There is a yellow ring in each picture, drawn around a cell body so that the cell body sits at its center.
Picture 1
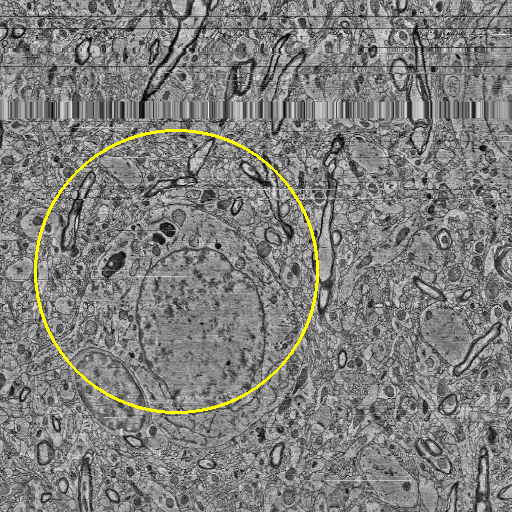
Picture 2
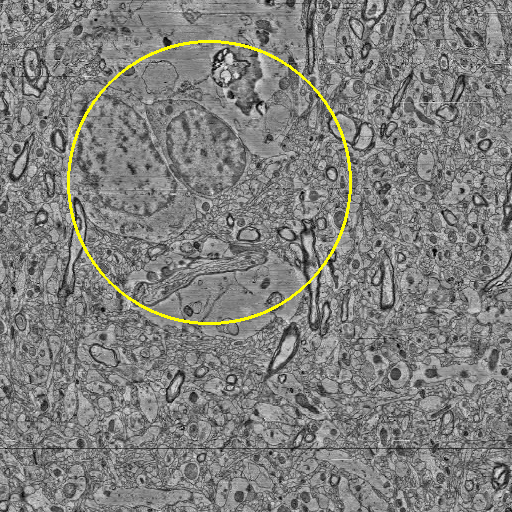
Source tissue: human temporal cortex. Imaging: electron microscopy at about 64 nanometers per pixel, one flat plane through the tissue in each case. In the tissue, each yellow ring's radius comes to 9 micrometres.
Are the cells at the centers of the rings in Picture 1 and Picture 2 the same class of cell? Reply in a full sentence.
No, the two cells are two classes of cell.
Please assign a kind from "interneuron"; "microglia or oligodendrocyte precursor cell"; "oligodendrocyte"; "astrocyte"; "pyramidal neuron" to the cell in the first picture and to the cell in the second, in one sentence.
In the first picture we have a pyramidal neuron, and in the second, an oligodendrocyte.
